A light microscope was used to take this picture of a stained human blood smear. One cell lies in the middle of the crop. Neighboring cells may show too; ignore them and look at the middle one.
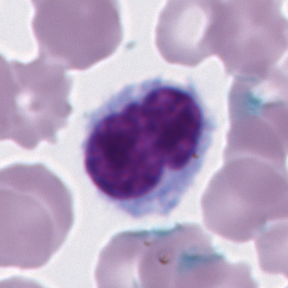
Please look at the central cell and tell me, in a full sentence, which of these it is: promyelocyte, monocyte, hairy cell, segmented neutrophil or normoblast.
Centrally within this crop lies a hairy cell.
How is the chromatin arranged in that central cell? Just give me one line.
Its nuclear chromatin is gathered into coarse clumps.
